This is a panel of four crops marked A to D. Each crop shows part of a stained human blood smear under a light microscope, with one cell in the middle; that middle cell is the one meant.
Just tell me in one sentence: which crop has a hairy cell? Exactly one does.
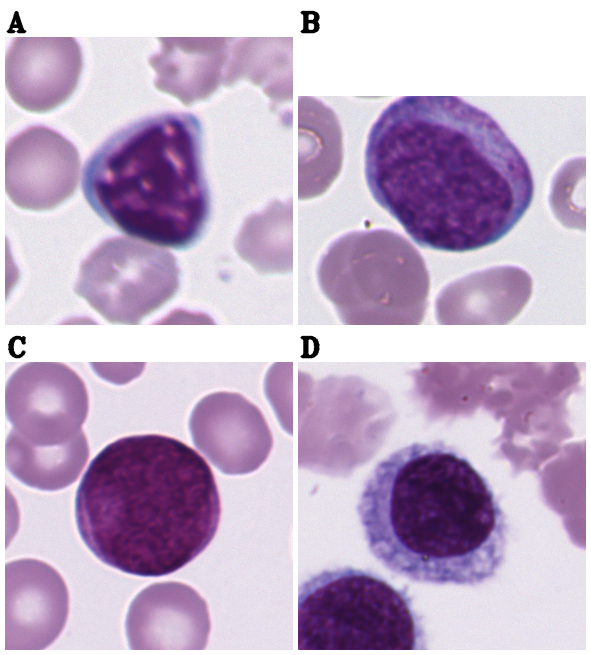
Crop D is the one to choose: it shows a hairy cell.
